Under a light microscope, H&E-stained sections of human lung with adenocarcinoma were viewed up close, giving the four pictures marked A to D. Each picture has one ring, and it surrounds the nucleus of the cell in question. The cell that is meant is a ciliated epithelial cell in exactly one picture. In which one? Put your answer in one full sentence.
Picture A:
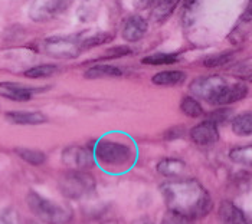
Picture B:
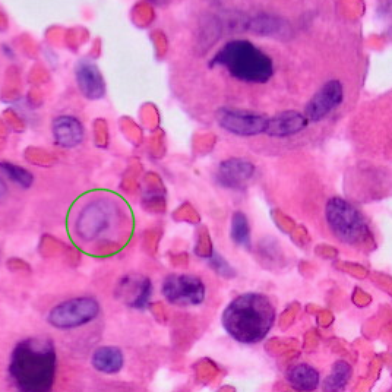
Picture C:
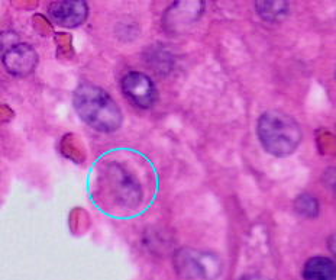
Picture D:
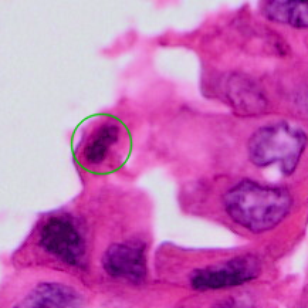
Picture A shows the ciliated epithelial cell.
